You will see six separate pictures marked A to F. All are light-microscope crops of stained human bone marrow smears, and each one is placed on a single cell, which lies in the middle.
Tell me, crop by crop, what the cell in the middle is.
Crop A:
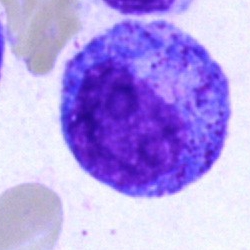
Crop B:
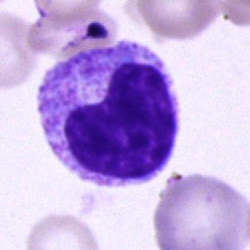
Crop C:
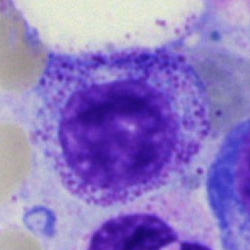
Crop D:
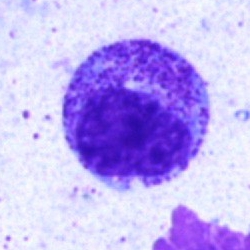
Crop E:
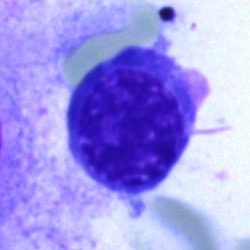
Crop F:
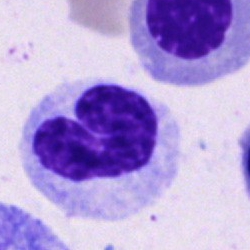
A: promyelocyte
B: metamyelocyte
C: myelocyte
D: myelocyte
E: normoblast
F: band neutrophil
